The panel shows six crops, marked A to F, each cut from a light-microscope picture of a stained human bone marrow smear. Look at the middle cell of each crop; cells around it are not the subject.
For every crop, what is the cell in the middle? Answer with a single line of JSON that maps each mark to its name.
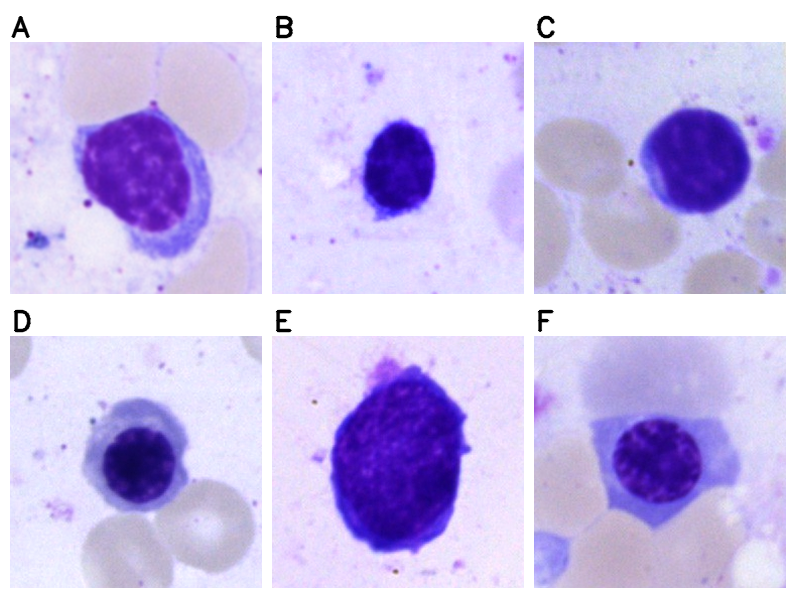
{"A": "lymphocyte", "B": "lymphocyte", "C": "lymphocyte", "D": "erythroblast", "E": "blast", "F": "erythroblast"}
